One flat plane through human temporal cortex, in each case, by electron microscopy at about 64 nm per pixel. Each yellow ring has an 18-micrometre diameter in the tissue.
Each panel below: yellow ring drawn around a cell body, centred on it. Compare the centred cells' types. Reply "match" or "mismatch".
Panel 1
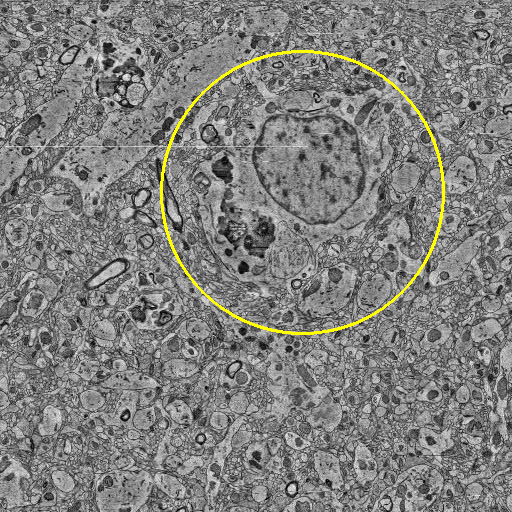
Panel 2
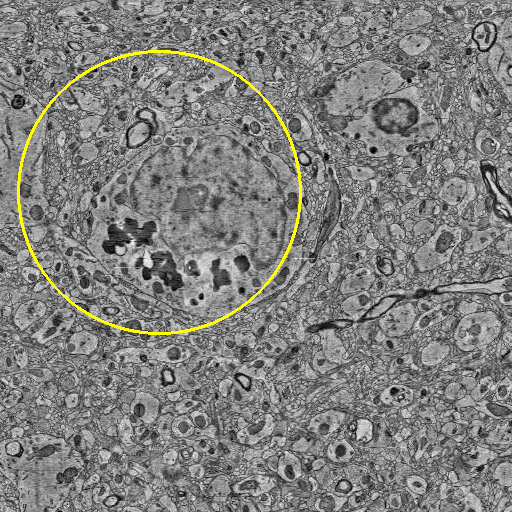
mismatch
